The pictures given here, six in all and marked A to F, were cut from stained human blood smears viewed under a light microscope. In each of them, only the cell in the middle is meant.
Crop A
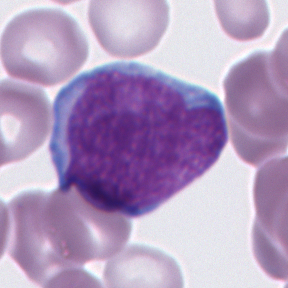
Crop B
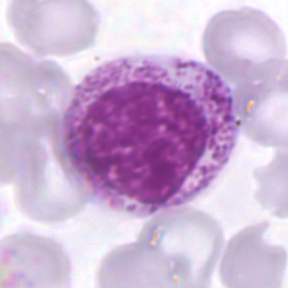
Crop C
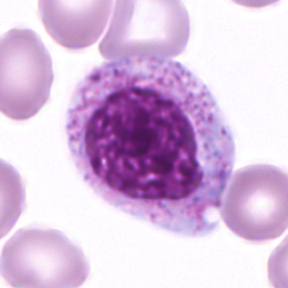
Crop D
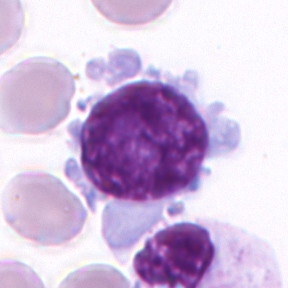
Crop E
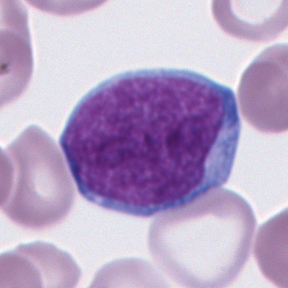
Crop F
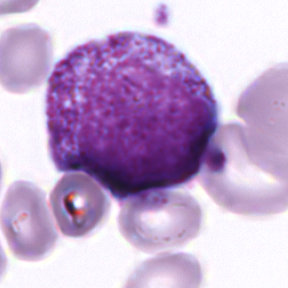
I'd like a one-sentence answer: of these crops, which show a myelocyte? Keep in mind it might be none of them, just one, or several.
In crops B, C and F, myelocytes occupy the centre.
